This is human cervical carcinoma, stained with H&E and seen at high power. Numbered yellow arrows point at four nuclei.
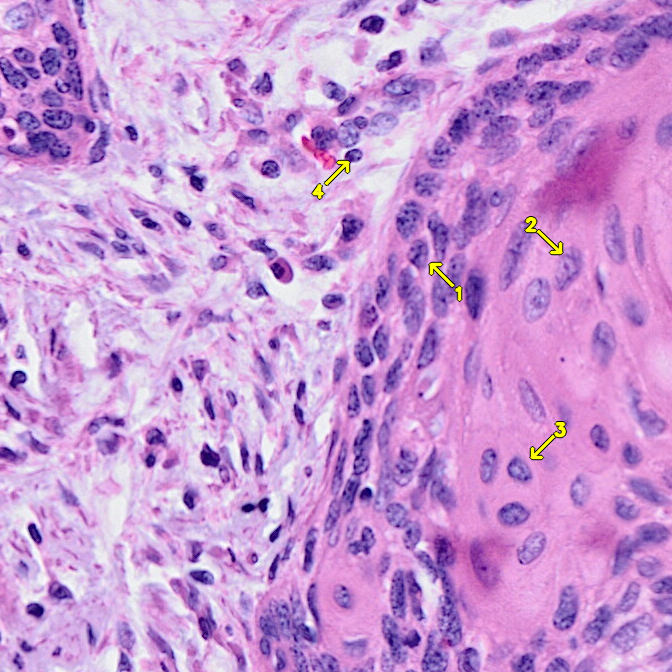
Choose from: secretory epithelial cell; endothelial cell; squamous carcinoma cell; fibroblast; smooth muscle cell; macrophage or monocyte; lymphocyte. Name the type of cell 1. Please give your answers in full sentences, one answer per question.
The marked cell bearing number 1 is a squamous carcinoma cell.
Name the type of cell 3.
The cell numbered 3 represents a squamous carcinoma cell.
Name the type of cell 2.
The cell identified by the number 2 is a squamous carcinoma cell.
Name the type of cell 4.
The marked cell with the number 4 is recognised as a lymphocyte.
